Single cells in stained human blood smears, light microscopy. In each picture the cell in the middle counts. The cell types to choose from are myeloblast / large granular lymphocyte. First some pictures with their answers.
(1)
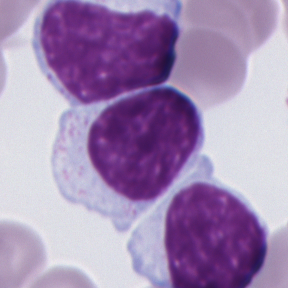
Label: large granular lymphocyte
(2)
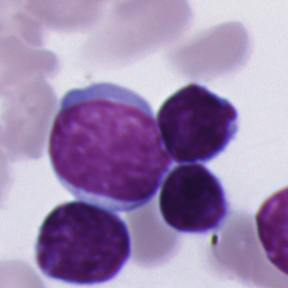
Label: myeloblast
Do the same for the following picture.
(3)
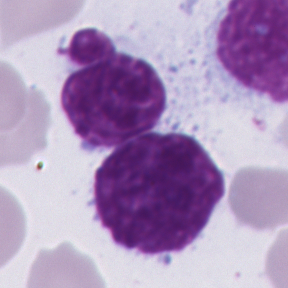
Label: myeloblast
